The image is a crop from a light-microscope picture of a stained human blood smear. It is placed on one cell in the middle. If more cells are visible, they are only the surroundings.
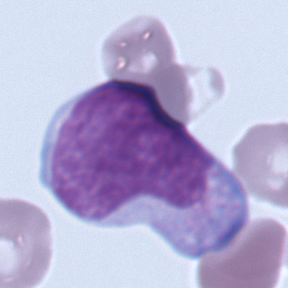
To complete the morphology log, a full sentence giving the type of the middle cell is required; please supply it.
The cell nearest the centre of this crop is an atypical promyelocyte.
